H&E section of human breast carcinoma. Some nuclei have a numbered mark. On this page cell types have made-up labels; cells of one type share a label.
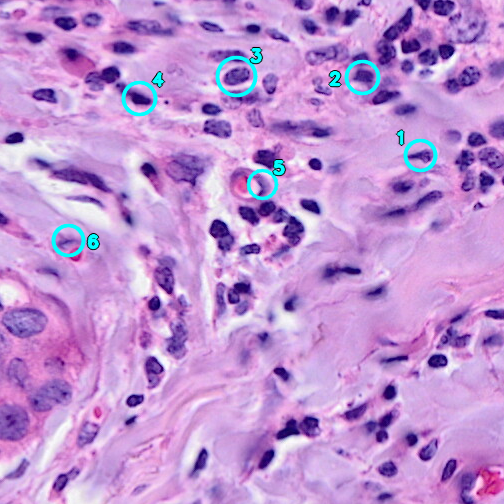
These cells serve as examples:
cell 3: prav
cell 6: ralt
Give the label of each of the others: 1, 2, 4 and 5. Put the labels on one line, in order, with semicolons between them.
prav; prav; prav; ralt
